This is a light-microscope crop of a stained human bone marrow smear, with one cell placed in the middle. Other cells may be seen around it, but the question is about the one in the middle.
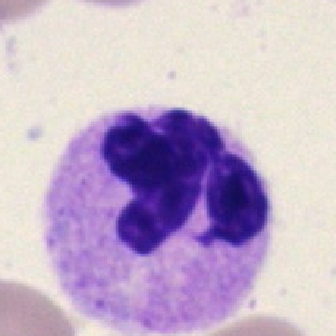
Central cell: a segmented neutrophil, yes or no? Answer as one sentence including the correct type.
Yes, the cell at the center of the crop is a segmented neutrophil.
